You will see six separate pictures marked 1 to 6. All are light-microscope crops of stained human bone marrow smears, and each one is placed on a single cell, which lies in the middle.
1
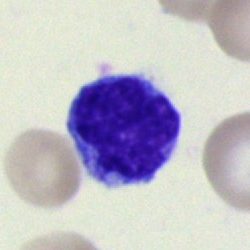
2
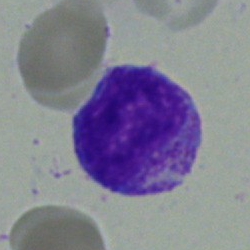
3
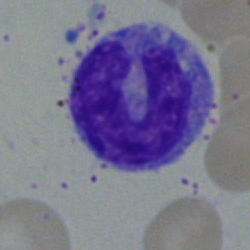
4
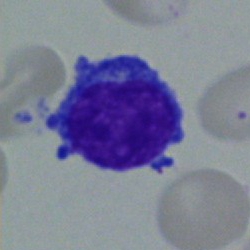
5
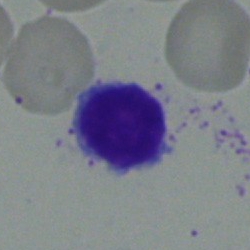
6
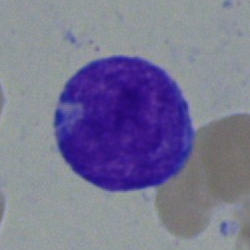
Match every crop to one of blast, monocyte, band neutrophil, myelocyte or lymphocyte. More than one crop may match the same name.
1: lymphocyte
2: myelocyte
3: monocyte
4: lymphocyte
5: lymphocyte
6: blast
